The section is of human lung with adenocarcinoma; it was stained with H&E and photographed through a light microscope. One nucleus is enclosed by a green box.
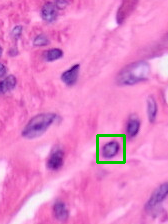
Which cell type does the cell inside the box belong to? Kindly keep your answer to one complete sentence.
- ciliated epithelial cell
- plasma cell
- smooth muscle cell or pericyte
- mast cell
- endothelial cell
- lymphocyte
By its classification, the cell inside the box is a mast cell.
